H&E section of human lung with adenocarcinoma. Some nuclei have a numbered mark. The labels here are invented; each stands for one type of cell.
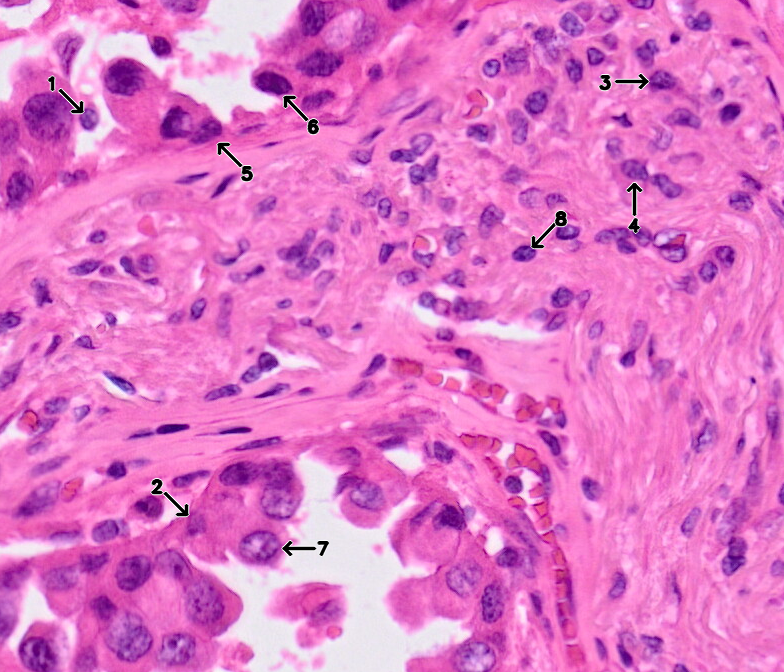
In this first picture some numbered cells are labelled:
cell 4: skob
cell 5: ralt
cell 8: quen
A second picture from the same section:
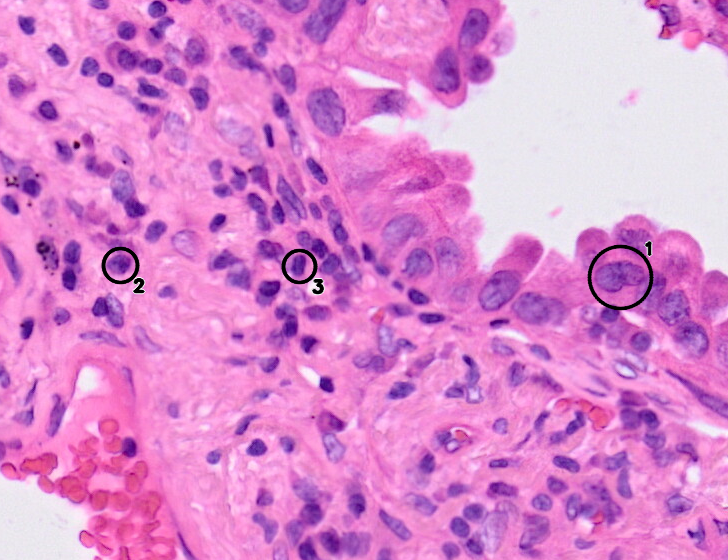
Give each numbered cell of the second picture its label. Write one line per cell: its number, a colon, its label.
1: ralt
2: skob
3: quen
